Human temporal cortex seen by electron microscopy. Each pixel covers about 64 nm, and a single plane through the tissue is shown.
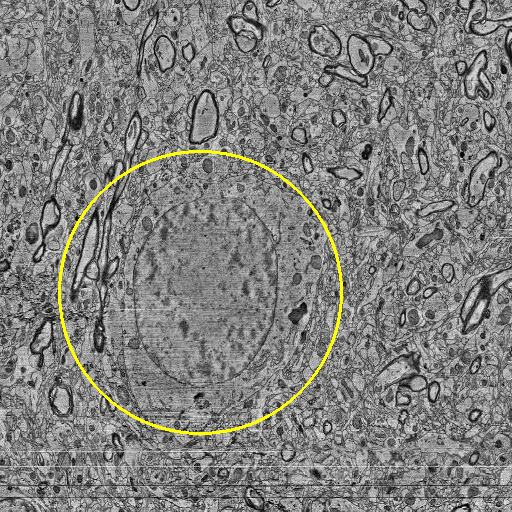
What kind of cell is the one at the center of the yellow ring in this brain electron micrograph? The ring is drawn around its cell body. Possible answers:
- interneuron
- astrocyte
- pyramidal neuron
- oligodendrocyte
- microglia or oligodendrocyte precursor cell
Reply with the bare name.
interneuron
